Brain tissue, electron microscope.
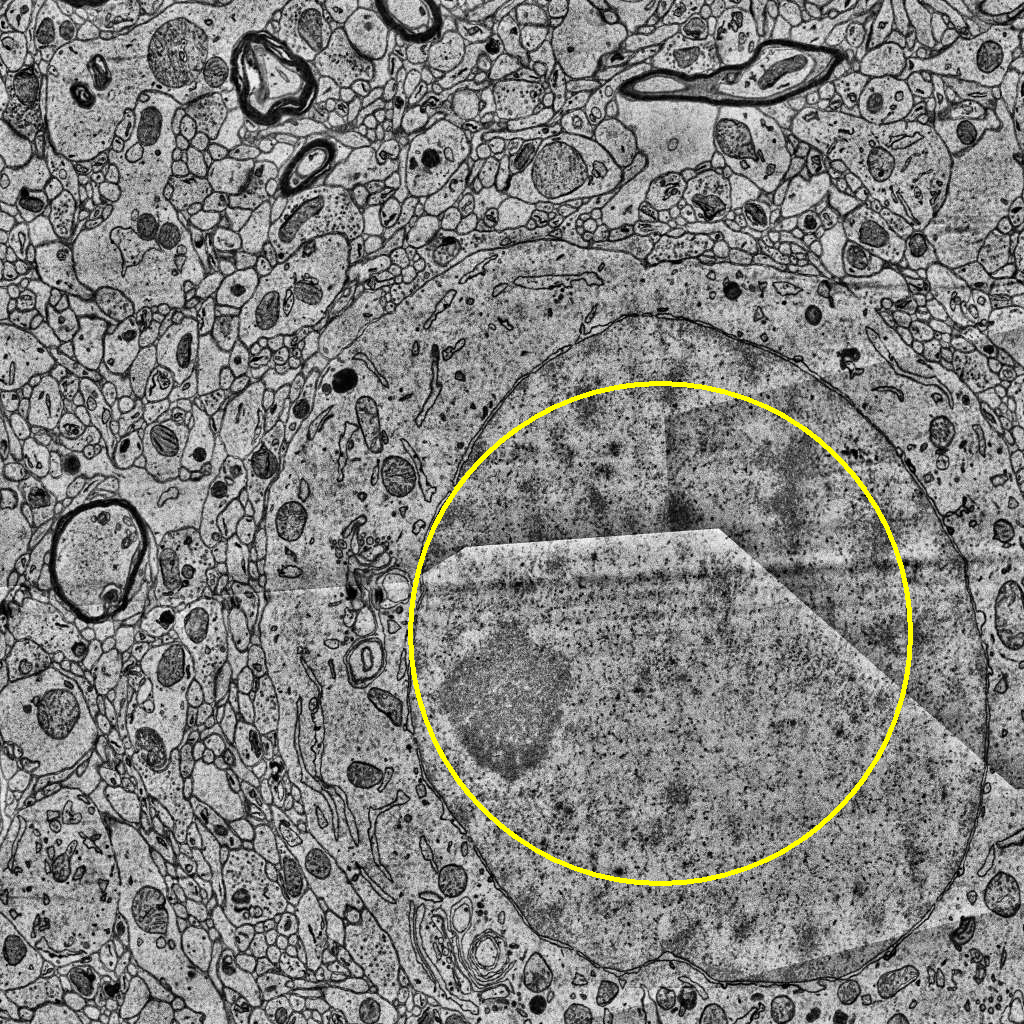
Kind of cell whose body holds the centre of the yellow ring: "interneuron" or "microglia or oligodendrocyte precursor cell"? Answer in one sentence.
The ring's centre falls on an interneuron.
